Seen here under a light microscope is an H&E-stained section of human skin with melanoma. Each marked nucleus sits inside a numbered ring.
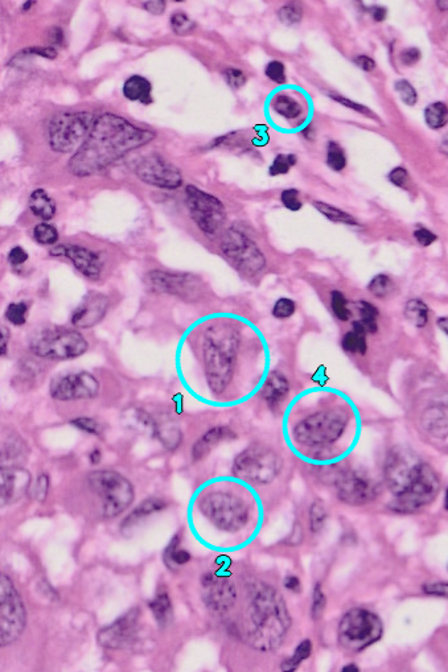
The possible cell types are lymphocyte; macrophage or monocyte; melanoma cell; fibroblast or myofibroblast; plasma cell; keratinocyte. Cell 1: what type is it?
melanoma cell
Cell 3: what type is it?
plasma cell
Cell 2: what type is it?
melanoma cell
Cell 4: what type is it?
melanoma cell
